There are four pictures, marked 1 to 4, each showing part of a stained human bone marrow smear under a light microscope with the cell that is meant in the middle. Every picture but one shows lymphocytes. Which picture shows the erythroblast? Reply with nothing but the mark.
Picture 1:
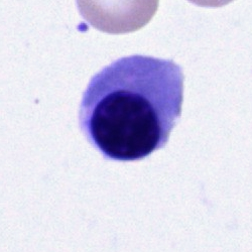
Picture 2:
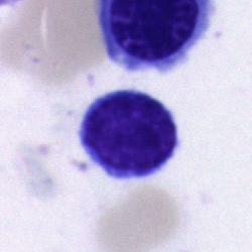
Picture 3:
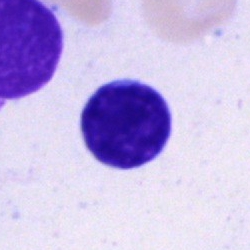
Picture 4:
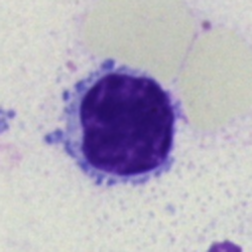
1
